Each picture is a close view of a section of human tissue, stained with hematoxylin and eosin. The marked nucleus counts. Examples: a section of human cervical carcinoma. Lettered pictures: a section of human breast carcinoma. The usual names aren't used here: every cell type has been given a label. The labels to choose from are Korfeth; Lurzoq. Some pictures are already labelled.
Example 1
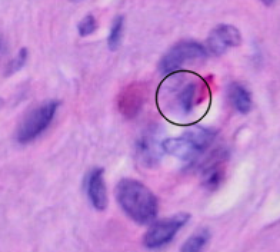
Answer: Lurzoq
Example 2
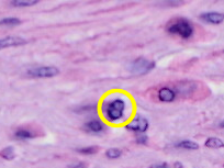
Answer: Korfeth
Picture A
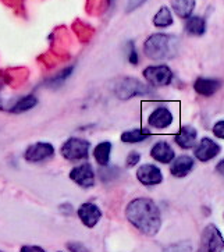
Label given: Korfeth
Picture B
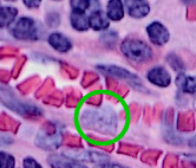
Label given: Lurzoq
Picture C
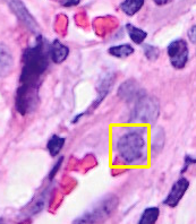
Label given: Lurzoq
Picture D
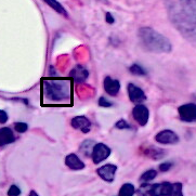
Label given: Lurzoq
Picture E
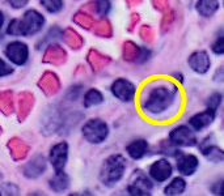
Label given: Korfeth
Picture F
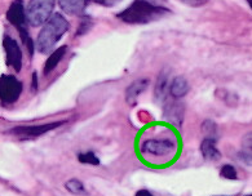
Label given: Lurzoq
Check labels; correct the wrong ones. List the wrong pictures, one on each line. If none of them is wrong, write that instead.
Every label is right.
